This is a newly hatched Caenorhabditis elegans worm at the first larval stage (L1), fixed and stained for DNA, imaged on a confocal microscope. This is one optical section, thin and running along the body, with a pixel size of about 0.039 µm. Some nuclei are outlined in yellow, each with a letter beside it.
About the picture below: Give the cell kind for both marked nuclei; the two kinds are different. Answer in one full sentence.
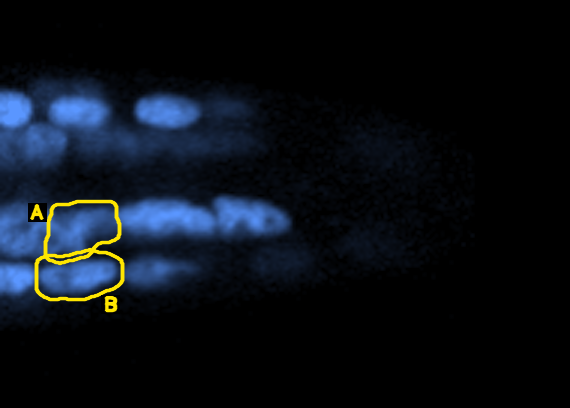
A is from a pharyngeal epithelial cell, and B is from a hypodermal cell (hyp).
